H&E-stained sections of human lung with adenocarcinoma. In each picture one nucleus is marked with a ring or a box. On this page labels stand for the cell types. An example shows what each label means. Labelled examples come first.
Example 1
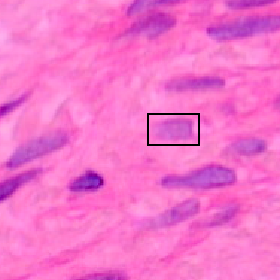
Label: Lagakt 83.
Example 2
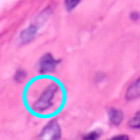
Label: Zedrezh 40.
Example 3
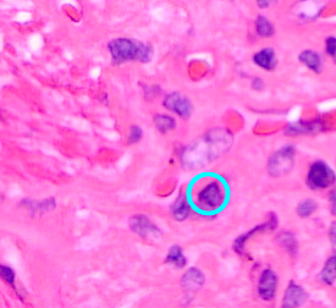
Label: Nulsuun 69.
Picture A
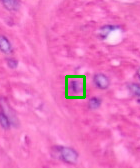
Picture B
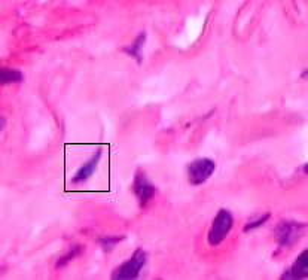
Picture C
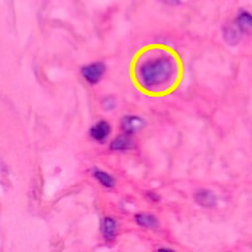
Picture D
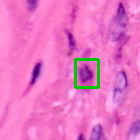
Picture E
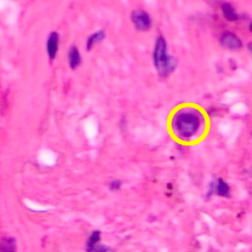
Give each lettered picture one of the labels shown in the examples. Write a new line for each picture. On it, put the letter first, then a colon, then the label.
A: Lagakt 83.
B: Zedrezh 40.
C: Lagakt 83.
D: Nulsuun 69.
E: Nulsuun 69.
